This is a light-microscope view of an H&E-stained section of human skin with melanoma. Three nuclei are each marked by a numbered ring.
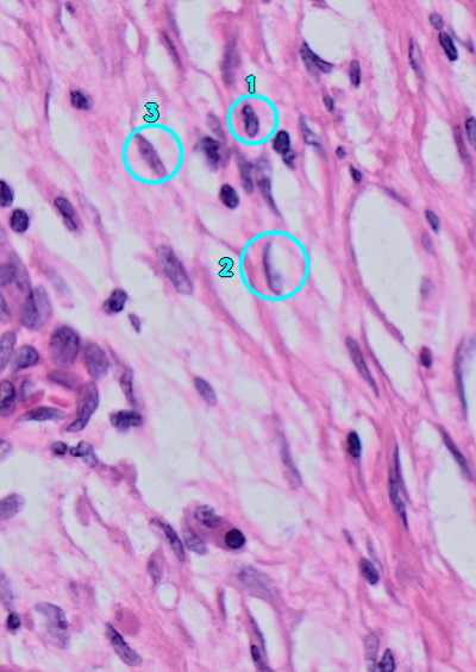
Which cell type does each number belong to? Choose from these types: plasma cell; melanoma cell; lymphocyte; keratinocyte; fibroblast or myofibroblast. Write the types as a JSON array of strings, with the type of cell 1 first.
["lymphocyte", "fibroblast or myofibroblast", "fibroblast or myofibroblast"]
